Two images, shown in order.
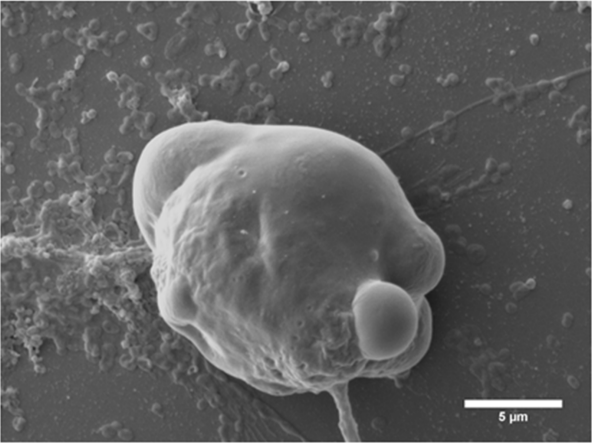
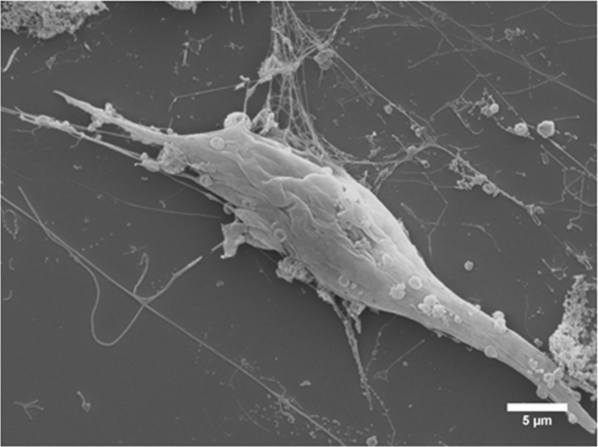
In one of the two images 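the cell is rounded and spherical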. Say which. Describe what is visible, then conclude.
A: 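Second image: the cell is elongated and spindle-shaped with long tapering processes. First image: the cell is a compact rounded mass with a bulging surface. On this evidence: the first image.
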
